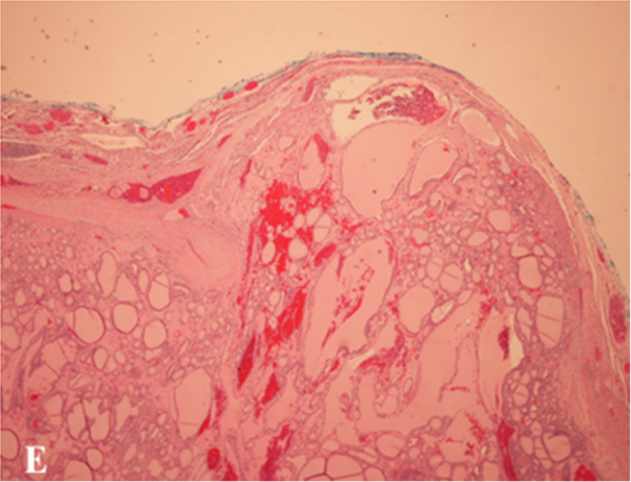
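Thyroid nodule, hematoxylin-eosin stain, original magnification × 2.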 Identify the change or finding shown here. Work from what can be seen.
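A band of fibrous tissue runs along the upper edge of the tissue. Follicles lie within and among the fibrous bands near the upper edge.
Answer: the tumor invades through and into the fibrous capsule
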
